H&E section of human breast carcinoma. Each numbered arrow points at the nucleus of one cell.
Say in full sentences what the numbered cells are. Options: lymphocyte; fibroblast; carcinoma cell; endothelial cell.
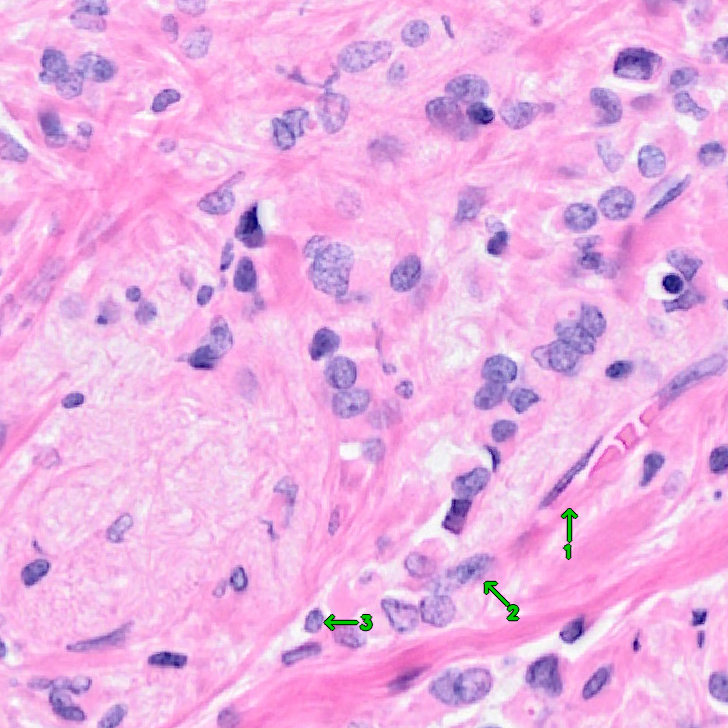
Cell 1 is an endothelial cell. Cell 2 is a fibroblast. Cell 3 is a lymphocyte.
